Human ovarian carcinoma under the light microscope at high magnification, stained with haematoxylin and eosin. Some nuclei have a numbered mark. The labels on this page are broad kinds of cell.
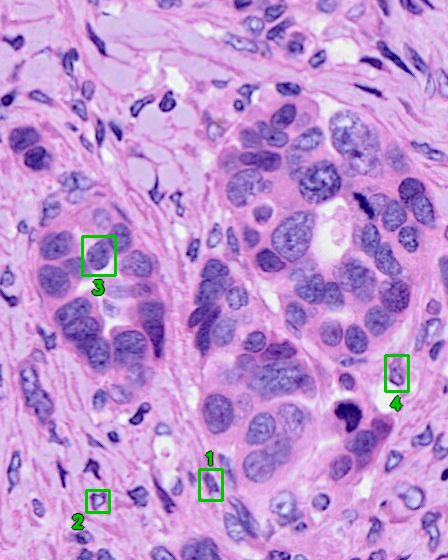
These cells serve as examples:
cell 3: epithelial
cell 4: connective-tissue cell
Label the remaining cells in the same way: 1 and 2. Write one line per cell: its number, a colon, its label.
1: connective-tissue cell
2: connective-tissue cell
